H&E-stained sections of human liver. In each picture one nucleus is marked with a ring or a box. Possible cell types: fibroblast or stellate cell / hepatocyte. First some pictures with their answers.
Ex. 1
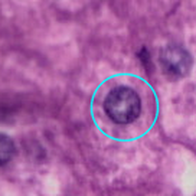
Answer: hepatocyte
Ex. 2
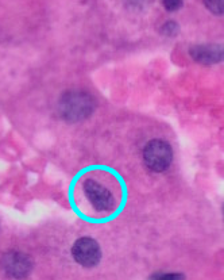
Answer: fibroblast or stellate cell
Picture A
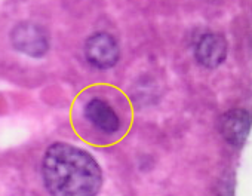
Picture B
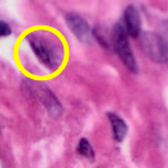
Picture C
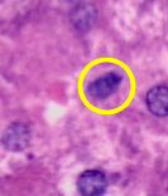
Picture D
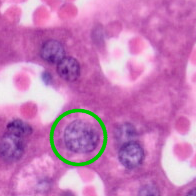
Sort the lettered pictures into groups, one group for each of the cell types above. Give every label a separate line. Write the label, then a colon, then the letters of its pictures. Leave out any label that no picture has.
fibroblast or stellate cell: A, B, C
hepatocyte: D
